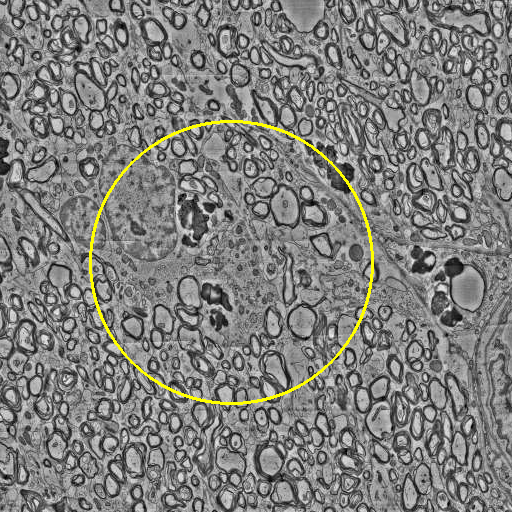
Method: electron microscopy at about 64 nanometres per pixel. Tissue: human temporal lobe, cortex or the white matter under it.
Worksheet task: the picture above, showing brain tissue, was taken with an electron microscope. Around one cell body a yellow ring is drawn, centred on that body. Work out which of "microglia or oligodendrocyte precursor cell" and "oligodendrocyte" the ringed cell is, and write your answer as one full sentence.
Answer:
It is an oligodendrocyte whose cell body lies at the centre of the yellow ring.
